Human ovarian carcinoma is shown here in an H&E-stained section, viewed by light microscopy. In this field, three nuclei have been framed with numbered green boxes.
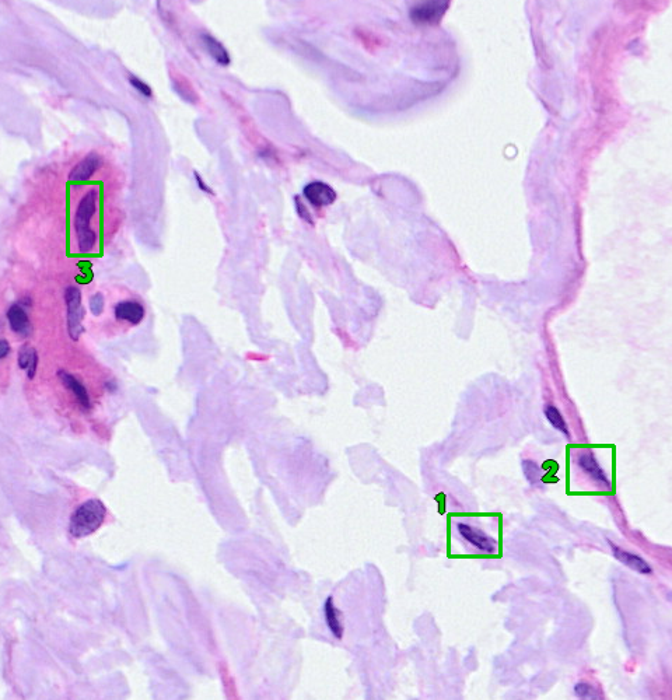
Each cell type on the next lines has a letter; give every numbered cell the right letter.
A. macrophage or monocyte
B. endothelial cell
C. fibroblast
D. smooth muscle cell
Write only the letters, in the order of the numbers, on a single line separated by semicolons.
C; B; D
